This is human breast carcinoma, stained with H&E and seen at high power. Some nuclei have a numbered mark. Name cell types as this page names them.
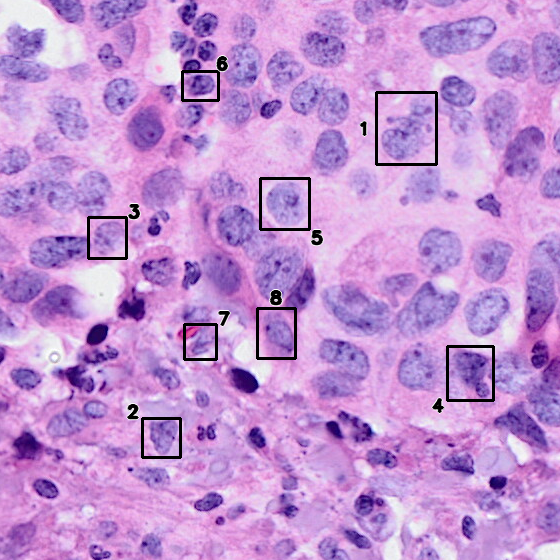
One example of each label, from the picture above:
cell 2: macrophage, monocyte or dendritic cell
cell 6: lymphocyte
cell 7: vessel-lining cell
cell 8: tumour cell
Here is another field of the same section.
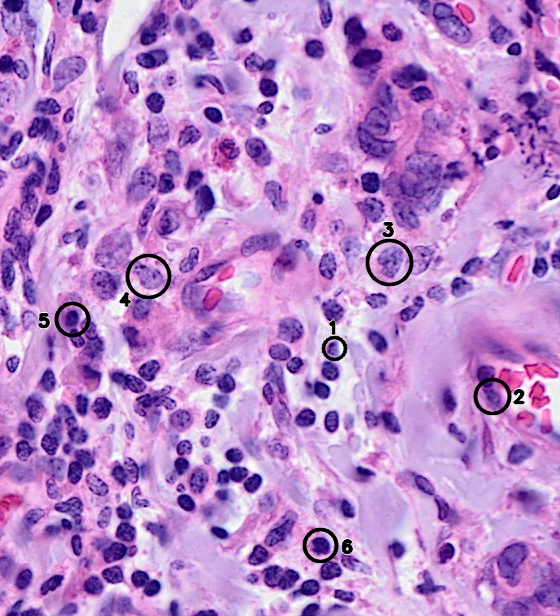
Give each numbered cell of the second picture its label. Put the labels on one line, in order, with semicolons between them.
lymphocyte; vessel-lining cell; macrophage, monocyte or dendritic cell; macrophage, monocyte or dendritic cell; lymphocyte; lymphocyte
